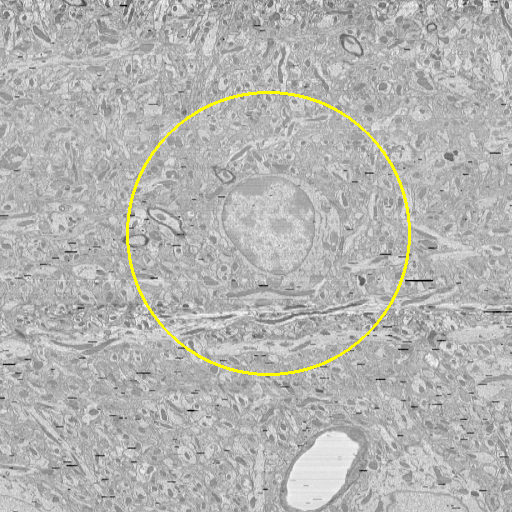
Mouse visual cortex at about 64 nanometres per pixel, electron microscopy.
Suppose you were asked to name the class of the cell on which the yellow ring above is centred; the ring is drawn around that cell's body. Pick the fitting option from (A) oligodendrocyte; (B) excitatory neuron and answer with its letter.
A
